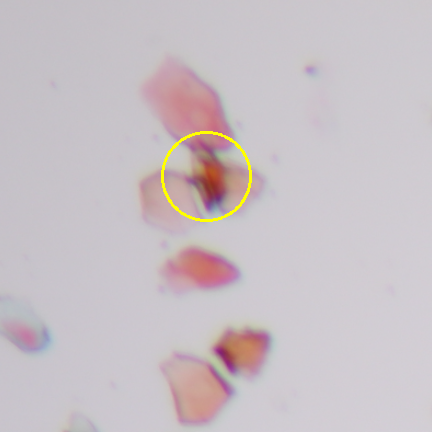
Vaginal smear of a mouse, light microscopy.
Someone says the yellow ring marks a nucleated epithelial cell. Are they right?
They are not: the ring marks a cornified epithelial cell.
